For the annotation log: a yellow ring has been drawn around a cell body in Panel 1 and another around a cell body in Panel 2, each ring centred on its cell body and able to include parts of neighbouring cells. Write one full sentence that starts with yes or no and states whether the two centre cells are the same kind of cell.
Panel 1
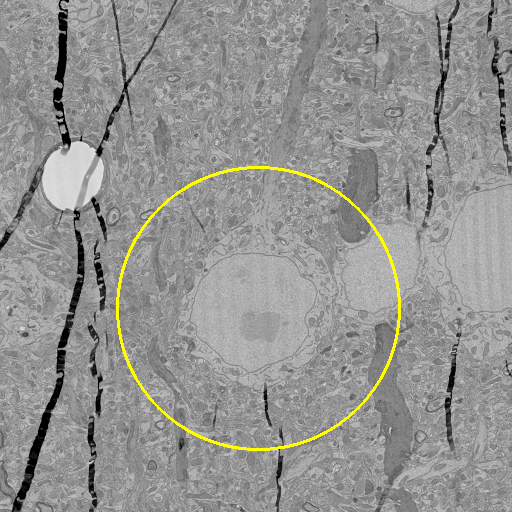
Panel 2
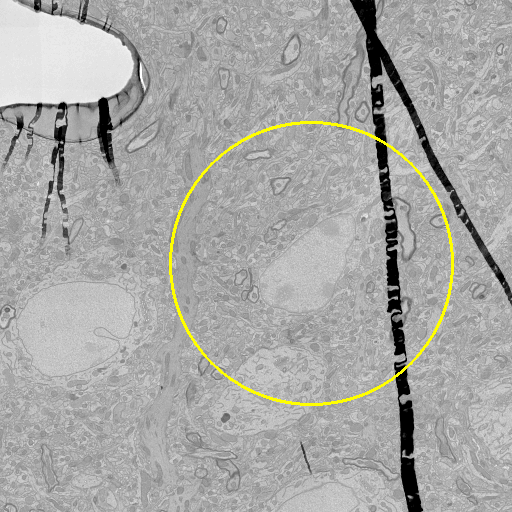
No, the two centre cells are two kinds of cell.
